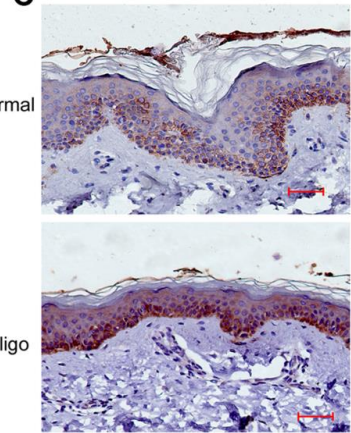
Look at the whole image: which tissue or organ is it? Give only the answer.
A: Skin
